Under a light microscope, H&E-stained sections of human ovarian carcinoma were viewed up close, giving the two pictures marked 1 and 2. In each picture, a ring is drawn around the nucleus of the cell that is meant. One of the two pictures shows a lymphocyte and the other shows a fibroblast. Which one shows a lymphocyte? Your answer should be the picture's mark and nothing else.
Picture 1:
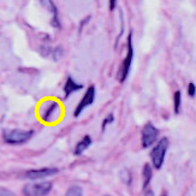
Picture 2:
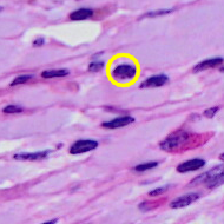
2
